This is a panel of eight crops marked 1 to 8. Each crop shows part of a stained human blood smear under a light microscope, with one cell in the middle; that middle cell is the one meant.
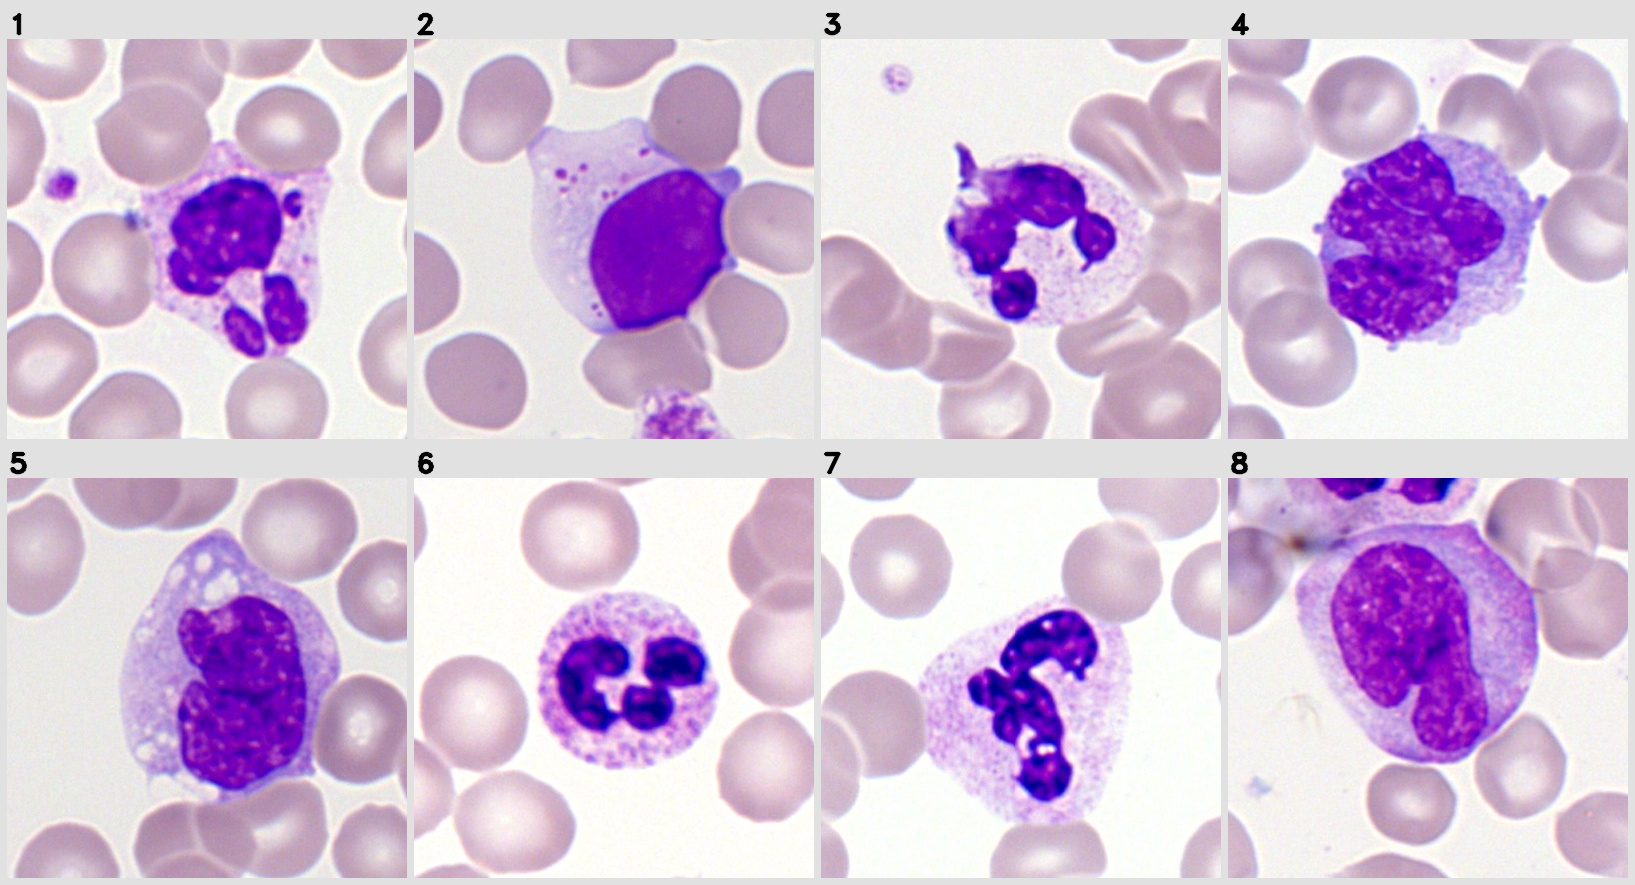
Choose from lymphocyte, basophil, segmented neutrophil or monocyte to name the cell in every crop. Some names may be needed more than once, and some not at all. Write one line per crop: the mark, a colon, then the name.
1: basophil
2: lymphocyte
3: segmented neutrophil
4: monocyte
5: monocyte
6: segmented neutrophil
7: segmented neutrophil
8: monocyte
